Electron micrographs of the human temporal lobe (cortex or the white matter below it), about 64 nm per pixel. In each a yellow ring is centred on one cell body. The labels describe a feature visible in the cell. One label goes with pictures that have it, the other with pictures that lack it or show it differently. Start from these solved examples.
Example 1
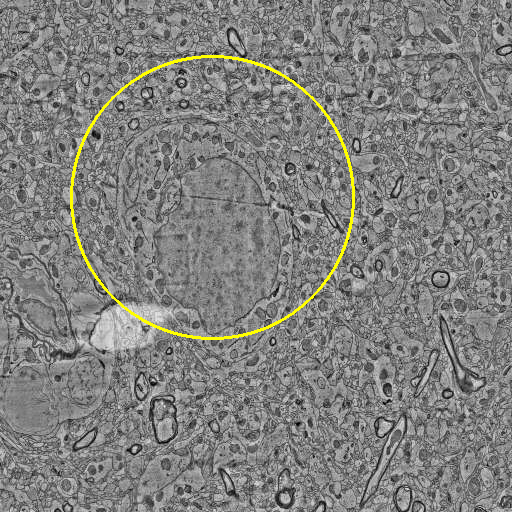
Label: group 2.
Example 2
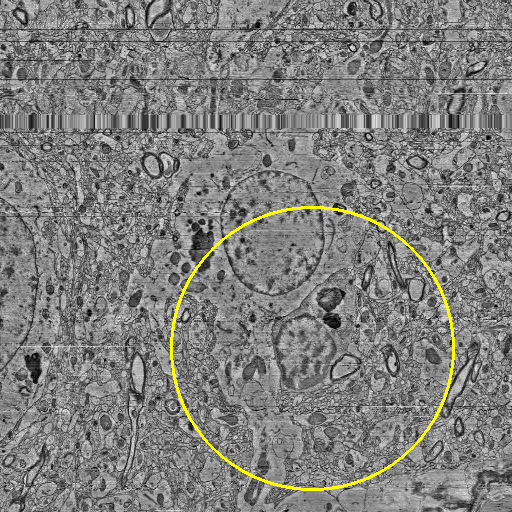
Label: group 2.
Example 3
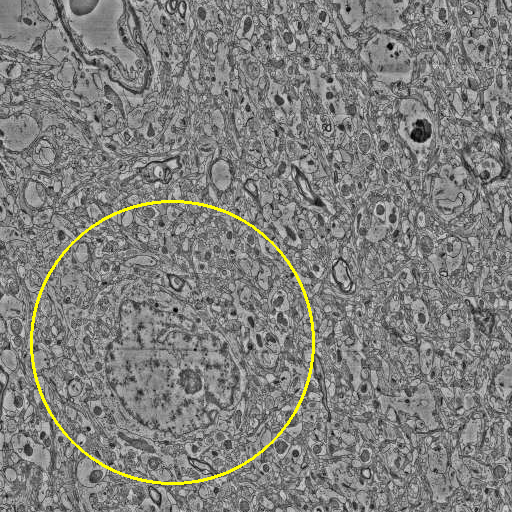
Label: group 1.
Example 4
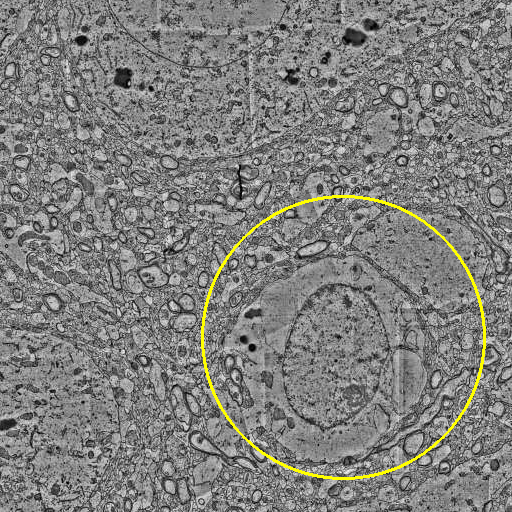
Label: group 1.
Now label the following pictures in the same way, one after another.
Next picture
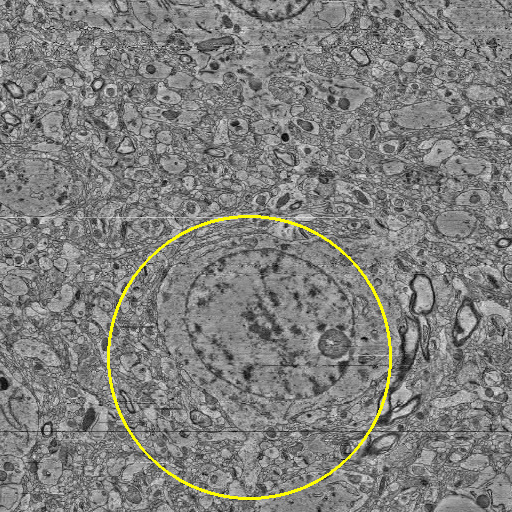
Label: group 1.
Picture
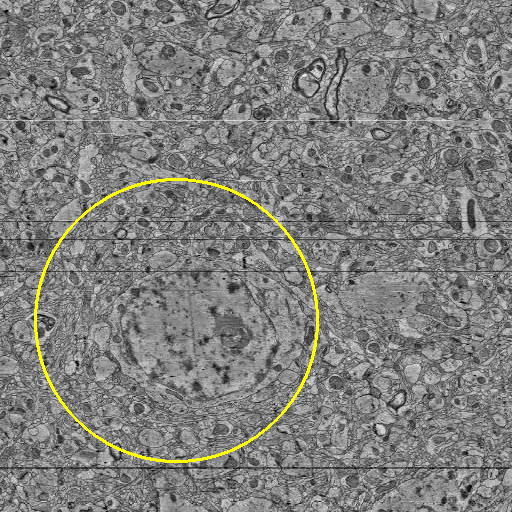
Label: group 1.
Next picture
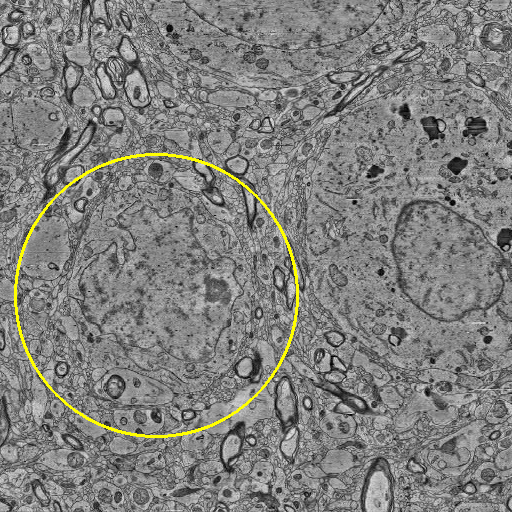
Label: group 1.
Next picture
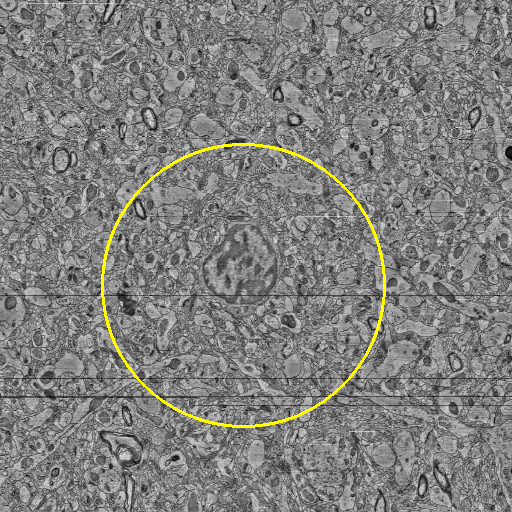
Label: group 2.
